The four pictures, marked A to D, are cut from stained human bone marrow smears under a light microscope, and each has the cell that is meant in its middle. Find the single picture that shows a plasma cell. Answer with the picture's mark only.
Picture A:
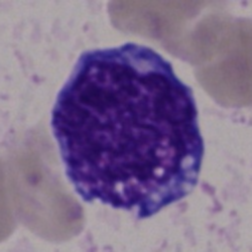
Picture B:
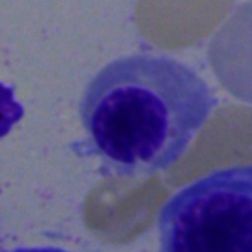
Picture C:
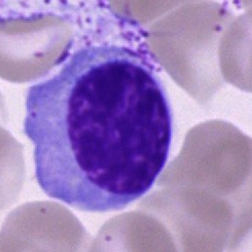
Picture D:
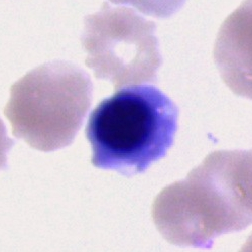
C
